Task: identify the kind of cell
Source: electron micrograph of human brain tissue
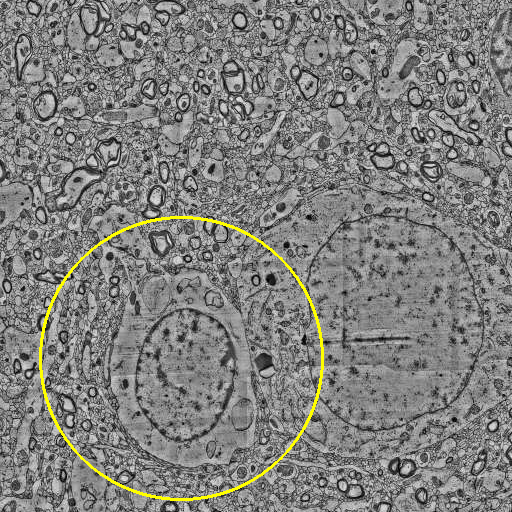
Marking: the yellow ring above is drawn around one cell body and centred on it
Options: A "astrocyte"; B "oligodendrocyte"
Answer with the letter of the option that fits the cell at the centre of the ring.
A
